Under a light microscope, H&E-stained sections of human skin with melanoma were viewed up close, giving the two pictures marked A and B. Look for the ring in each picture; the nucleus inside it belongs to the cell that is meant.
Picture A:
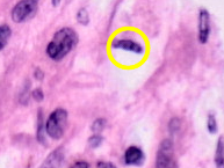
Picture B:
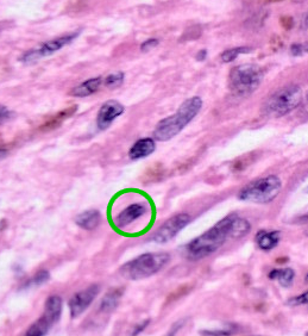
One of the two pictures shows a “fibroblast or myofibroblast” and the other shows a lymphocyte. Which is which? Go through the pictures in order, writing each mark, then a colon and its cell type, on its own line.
A: fibroblast or myofibroblast
B: lymphocyte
